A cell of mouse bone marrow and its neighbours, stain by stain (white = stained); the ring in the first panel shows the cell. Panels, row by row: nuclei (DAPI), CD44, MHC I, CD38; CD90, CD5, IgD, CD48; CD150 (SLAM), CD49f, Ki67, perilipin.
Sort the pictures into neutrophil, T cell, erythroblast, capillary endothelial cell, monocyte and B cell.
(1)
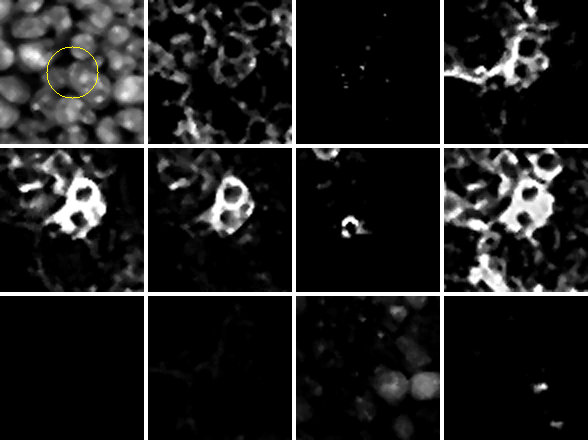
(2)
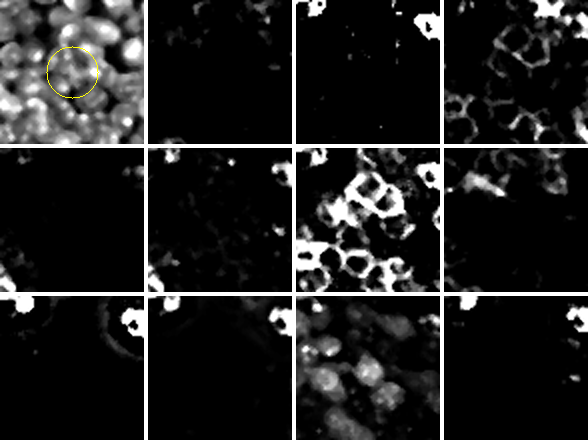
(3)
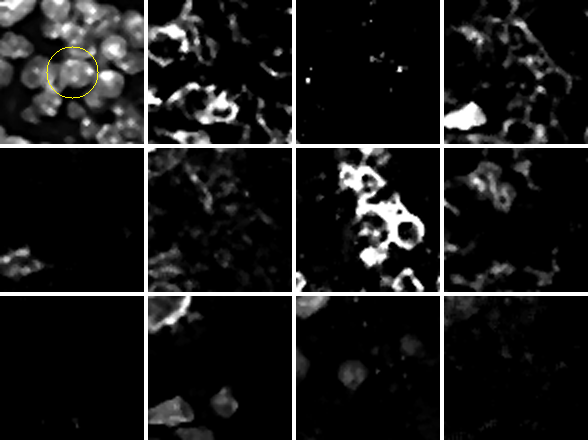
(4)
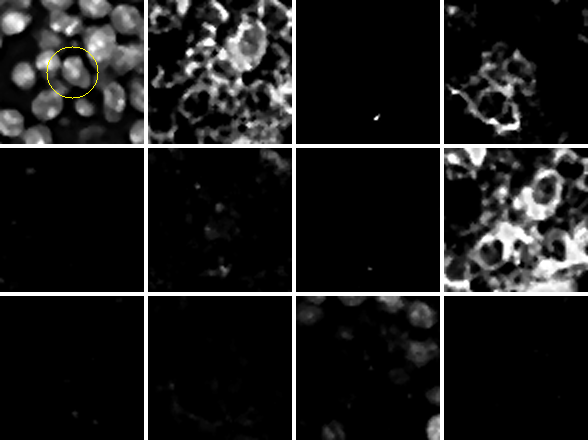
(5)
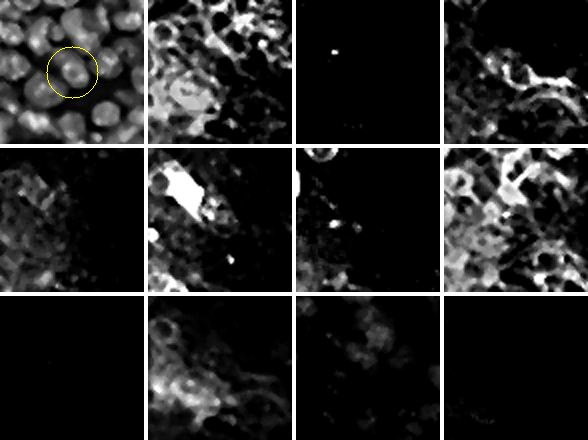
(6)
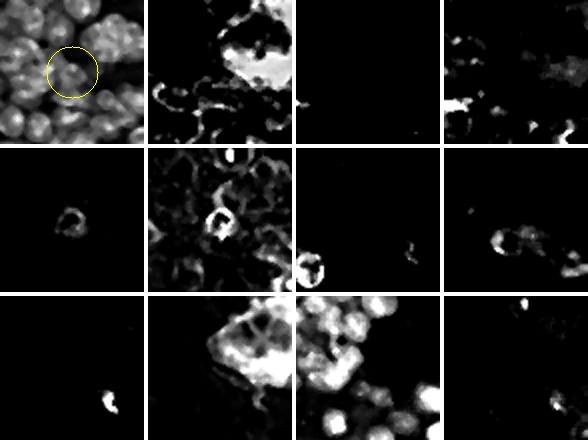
Capillary endothelial cells: 1, 5
Erythroblasts: 2
B cells: 3
Monocytes: 4
T cells: 6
